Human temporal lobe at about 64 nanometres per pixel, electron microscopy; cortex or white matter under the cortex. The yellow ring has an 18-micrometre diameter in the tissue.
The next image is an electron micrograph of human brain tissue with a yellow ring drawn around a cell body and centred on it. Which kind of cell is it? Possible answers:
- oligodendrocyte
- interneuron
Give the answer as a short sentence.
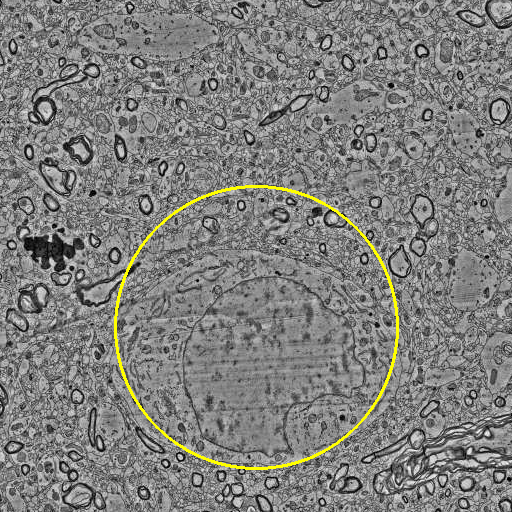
In the ring's centre is an interneuron.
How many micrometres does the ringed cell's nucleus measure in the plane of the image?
The nucleus measures about 11 micrometers across in this plane.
